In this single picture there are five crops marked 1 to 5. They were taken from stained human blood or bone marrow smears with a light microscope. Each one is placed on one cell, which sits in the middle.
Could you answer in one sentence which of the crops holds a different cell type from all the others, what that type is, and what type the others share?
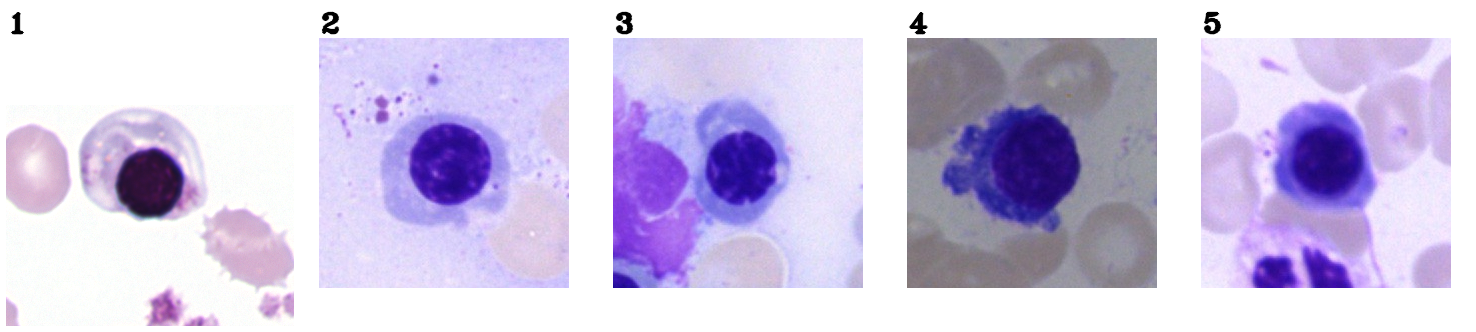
Crop 4, showing a plasma cell, is the exception; the others all show erythroblasts.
